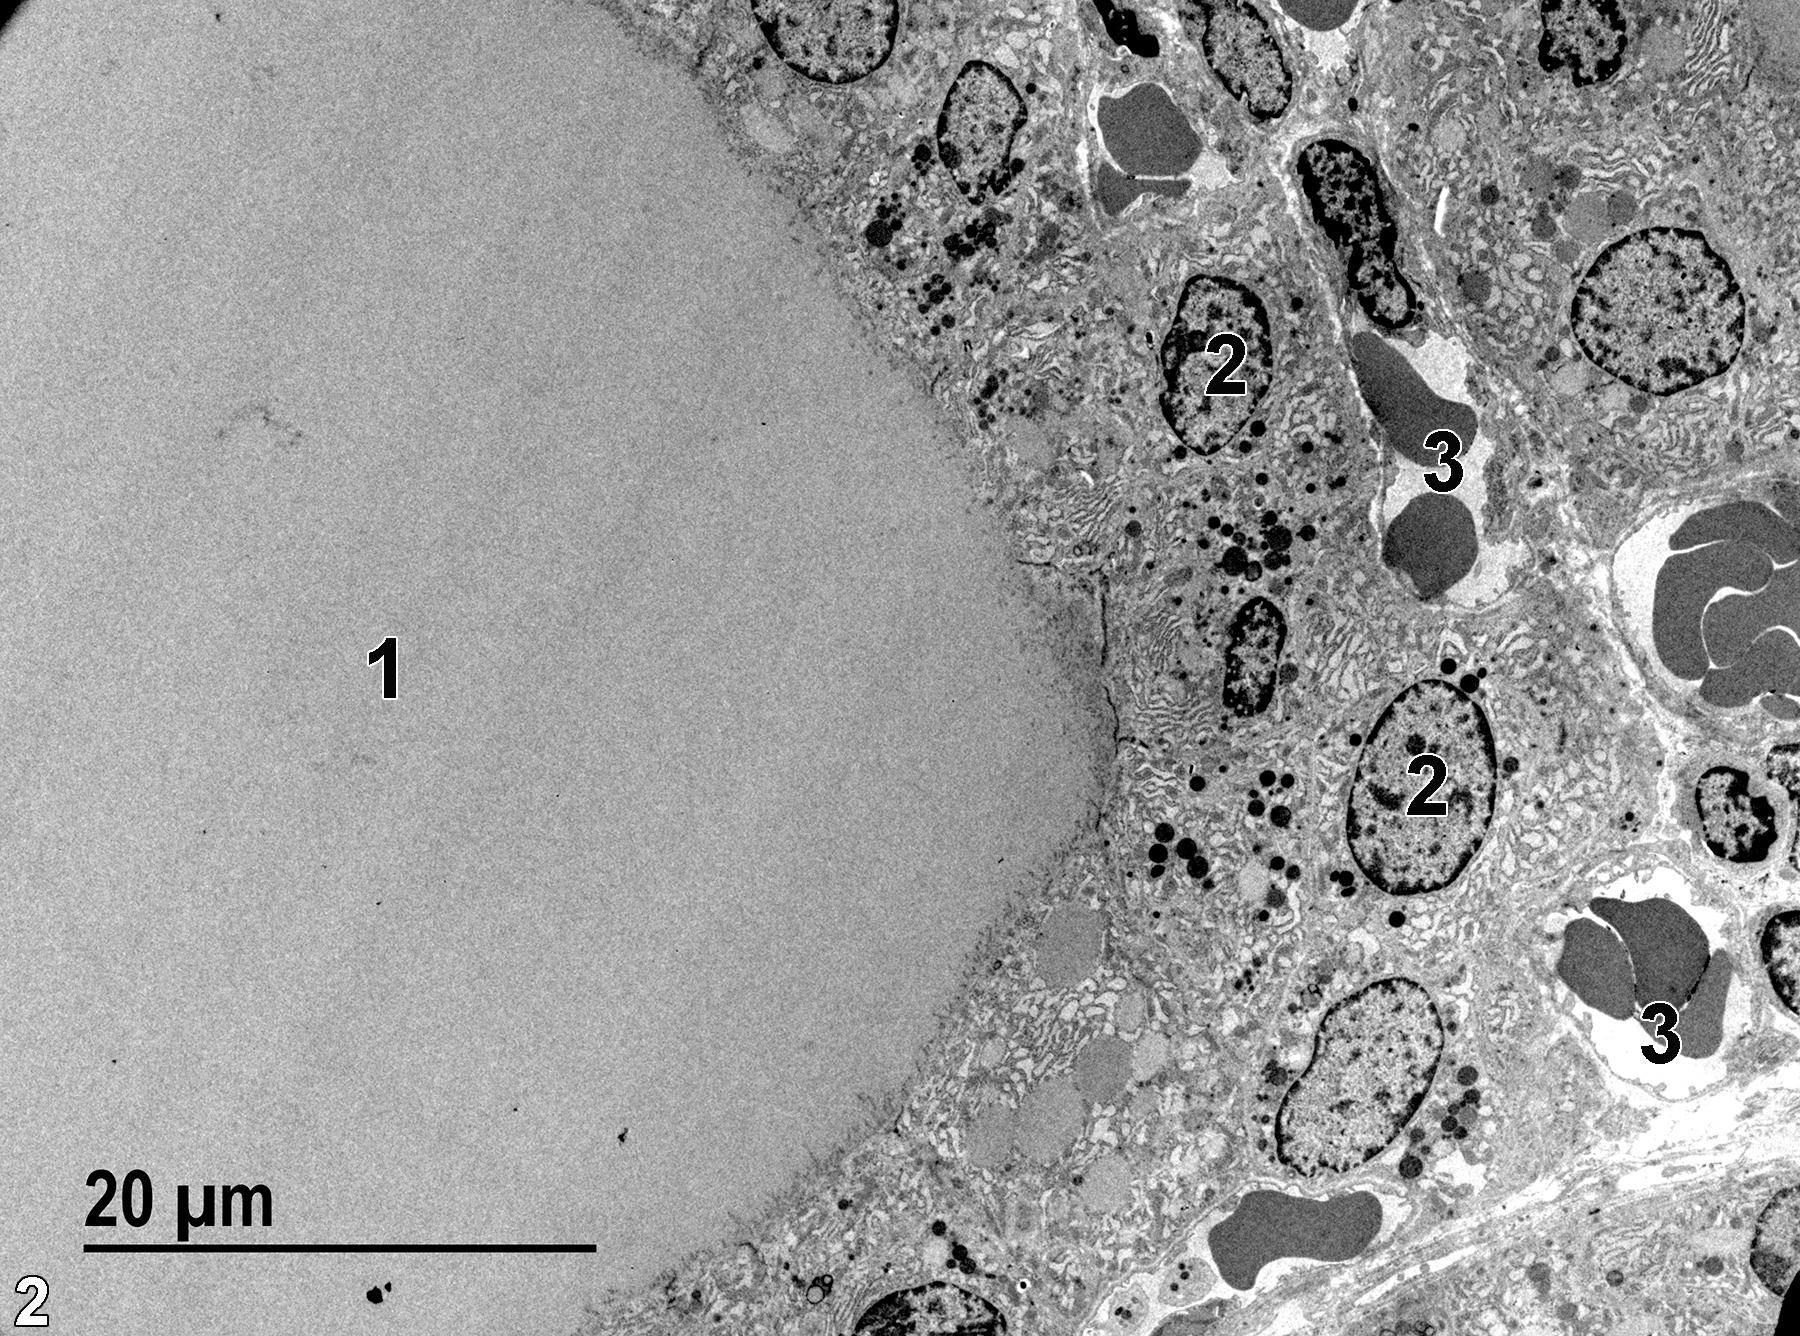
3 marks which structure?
capillaries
